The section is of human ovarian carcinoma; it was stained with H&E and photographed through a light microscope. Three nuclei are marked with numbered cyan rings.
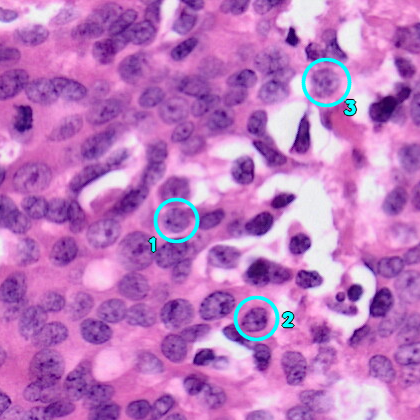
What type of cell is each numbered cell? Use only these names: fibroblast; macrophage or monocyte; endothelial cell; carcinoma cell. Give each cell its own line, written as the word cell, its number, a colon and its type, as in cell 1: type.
cell 1: carcinoma cell
cell 2: macrophage or monocyte
cell 3: carcinoma cell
